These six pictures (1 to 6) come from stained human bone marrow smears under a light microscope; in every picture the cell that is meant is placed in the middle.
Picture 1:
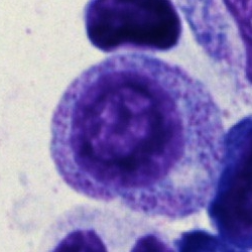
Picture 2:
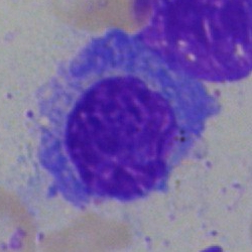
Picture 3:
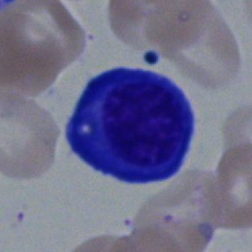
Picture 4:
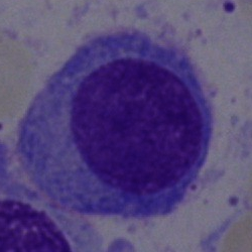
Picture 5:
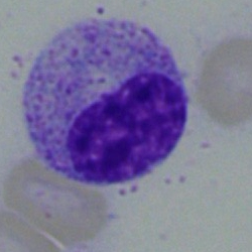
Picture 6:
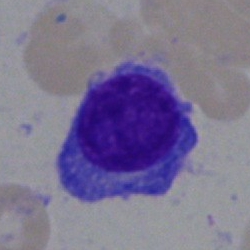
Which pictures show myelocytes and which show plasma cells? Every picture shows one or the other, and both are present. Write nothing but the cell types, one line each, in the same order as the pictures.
myelocyte
plasma cell
plasma cell
plasma cell
myelocyte
plasma cell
